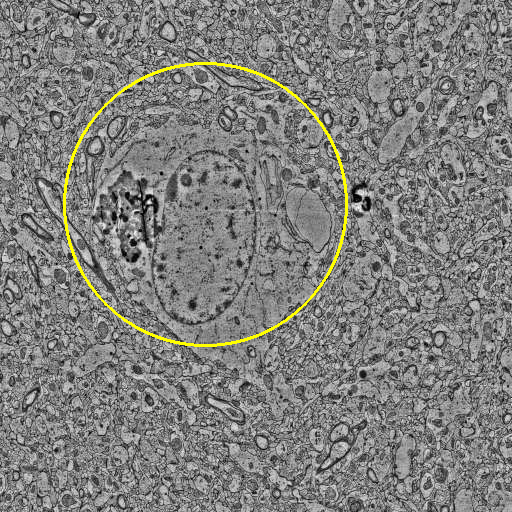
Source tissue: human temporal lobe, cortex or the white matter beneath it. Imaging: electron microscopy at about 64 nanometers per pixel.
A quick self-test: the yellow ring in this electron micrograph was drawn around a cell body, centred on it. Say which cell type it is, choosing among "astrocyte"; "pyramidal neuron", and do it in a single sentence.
The yellow-ringed cell is an astrocyte.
